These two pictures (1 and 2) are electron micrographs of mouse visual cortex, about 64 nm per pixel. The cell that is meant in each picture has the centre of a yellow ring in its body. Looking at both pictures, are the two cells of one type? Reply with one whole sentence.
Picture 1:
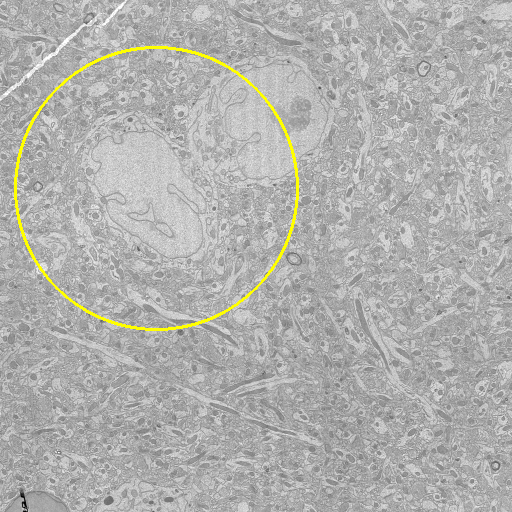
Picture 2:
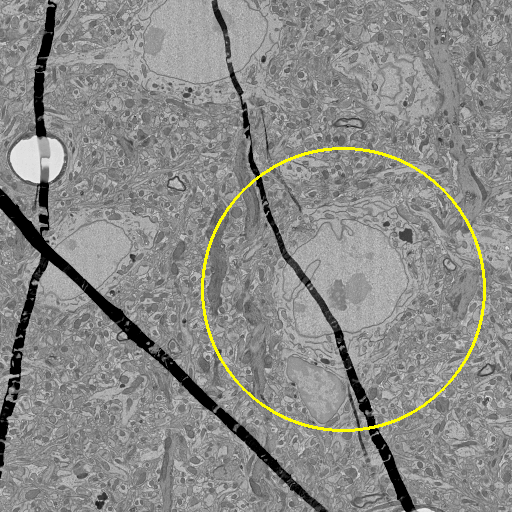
Yes, both are inhibitory neurons.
